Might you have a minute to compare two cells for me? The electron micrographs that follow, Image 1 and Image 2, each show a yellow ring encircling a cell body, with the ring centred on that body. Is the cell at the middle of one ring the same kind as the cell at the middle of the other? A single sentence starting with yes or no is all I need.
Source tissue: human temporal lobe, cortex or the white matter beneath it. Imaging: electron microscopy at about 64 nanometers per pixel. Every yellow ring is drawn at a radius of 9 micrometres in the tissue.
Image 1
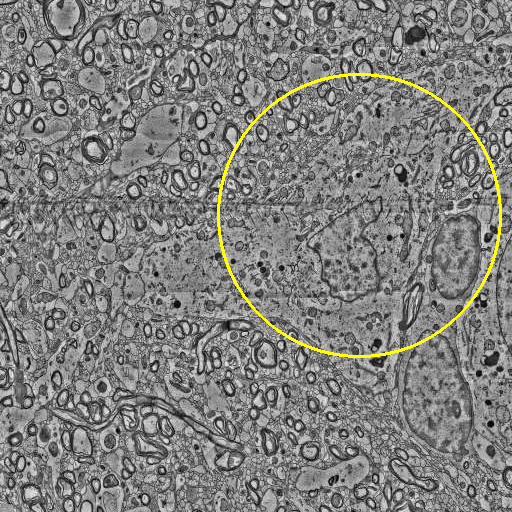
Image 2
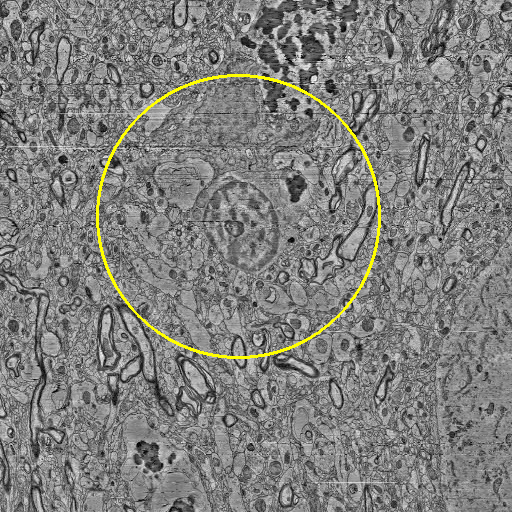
No, the cells in the middle of the two rings are of two separate kinds.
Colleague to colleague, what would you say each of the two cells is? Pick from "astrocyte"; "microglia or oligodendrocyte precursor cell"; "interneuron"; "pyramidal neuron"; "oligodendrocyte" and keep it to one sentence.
The cell in the first picture is a pyramidal neuron; the second picture's cell is an oligodendrocyte.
